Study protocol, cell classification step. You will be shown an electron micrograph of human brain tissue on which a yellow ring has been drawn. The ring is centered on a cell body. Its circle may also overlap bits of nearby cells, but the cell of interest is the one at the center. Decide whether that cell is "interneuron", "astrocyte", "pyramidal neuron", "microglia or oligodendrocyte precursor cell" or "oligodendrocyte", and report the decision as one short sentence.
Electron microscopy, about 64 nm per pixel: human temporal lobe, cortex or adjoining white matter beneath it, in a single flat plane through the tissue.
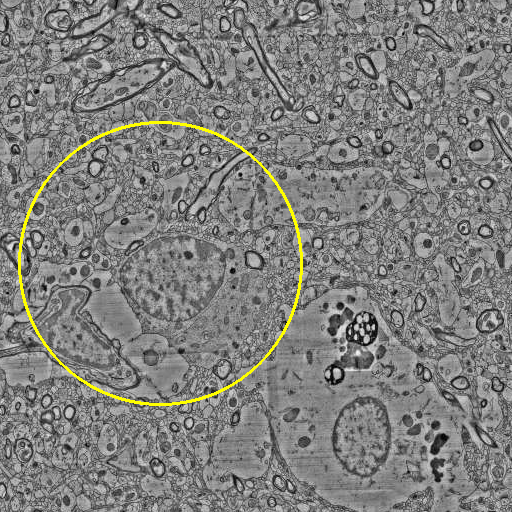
The marked cell is an oligodendrocyte.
